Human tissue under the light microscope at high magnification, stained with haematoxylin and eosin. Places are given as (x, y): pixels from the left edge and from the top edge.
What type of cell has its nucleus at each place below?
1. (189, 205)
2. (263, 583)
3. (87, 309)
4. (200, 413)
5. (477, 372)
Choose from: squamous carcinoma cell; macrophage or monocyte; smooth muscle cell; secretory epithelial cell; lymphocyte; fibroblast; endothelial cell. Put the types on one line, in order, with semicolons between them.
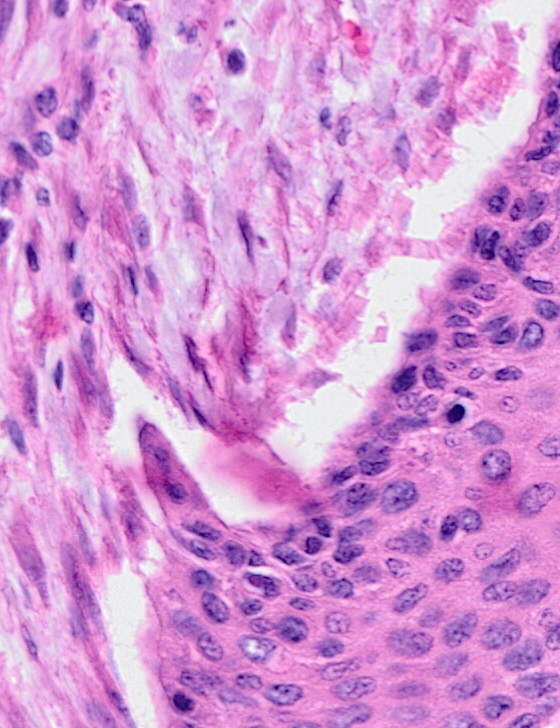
fibroblast; squamous carcinoma cell; lymphocyte; fibroblast; squamous carcinoma cell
